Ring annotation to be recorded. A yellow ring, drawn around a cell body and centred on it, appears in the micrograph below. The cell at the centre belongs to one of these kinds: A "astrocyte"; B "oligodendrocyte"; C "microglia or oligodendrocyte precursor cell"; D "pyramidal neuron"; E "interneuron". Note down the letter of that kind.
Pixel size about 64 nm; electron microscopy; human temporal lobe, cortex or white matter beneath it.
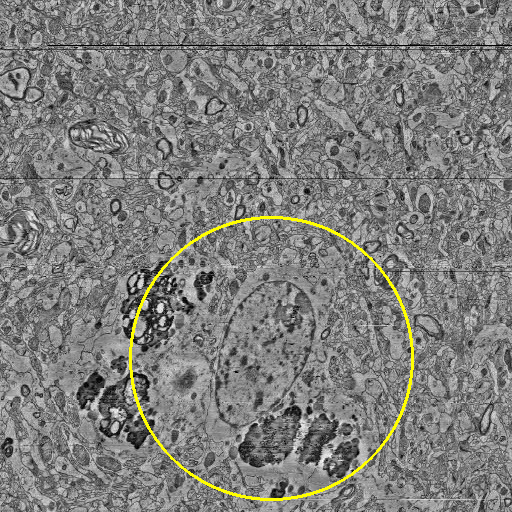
A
